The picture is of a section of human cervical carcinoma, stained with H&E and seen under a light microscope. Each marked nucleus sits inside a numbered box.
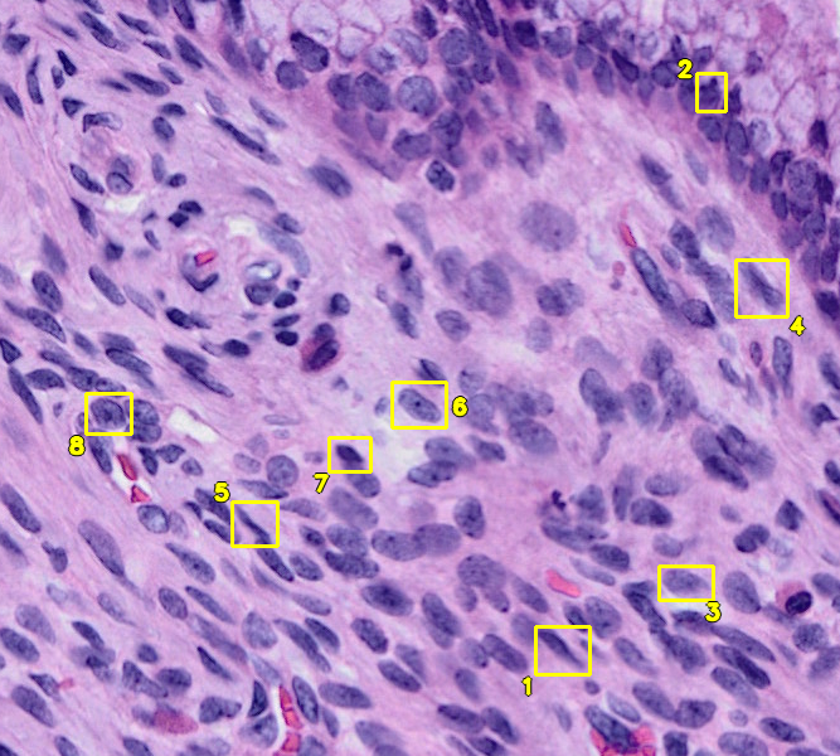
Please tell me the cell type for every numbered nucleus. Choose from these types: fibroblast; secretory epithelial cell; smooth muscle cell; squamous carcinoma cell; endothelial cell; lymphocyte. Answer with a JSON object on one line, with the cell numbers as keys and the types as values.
{"1": "fibroblast", "2": "secretory epithelial cell", "3": "fibroblast", "4": "fibroblast", "5": "fibroblast", "6": "fibroblast", "7": "lymphocyte", "8": "endothelial cell"}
